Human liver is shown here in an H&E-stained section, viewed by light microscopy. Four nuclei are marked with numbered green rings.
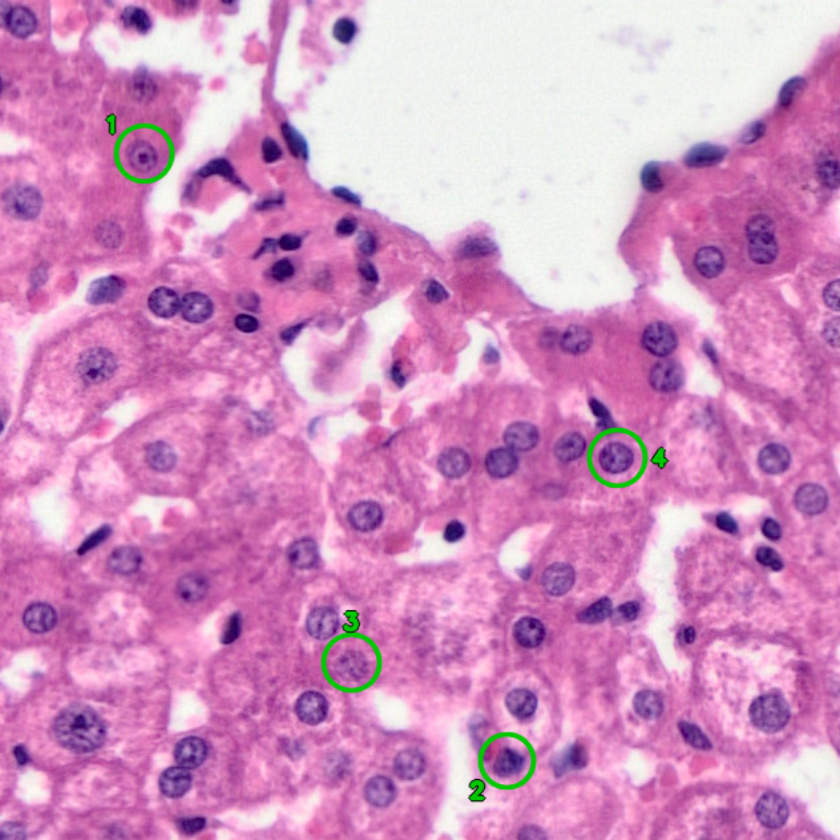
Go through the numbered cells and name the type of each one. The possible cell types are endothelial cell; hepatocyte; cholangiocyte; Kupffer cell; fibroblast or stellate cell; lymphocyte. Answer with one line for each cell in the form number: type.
1: hepatocyte
2: fibroblast or stellate cell
3: hepatocyte
4: hepatocyte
